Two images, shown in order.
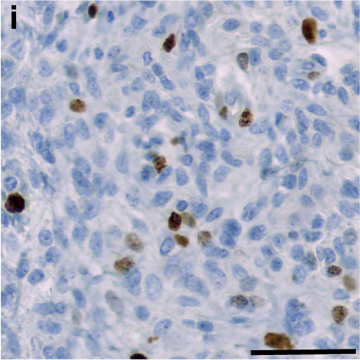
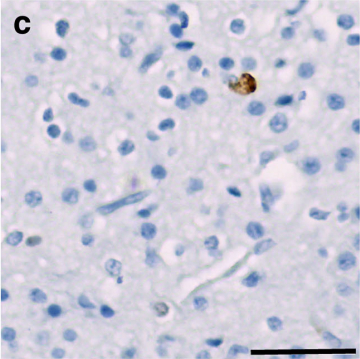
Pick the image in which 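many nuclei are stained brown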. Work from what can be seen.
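First image: numerous brown nuclei scattered through a dense field. So: the first image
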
